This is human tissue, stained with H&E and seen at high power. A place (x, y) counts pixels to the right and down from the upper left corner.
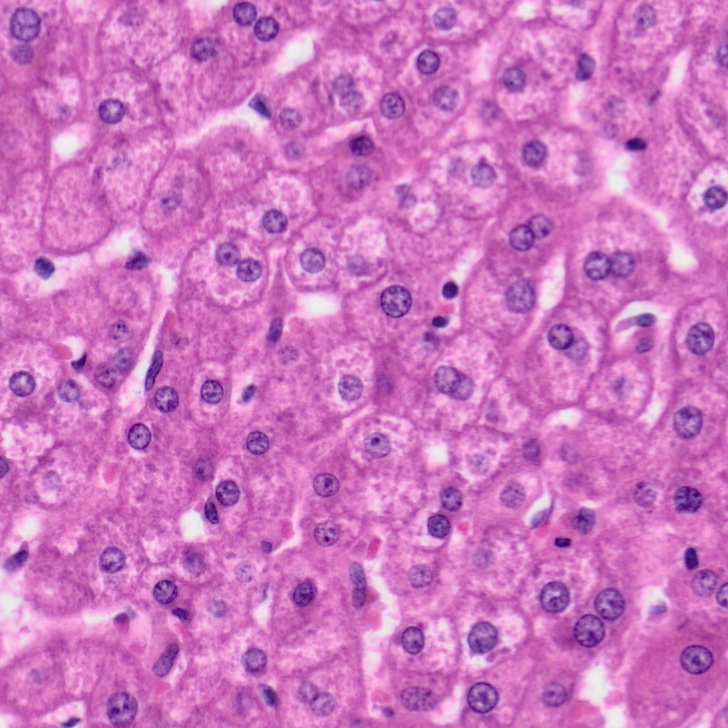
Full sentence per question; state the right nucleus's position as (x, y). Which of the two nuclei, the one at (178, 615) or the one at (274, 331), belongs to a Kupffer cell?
The nucleus at (274, 331) is assigned to a Kupffer cell.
